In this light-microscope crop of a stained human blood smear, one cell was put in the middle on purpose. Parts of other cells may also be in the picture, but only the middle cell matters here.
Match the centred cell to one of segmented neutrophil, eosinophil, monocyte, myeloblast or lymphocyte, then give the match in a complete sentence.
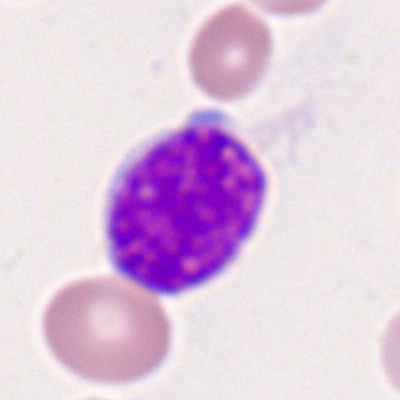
Framed in the middle of the crop is a lymphocyte.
